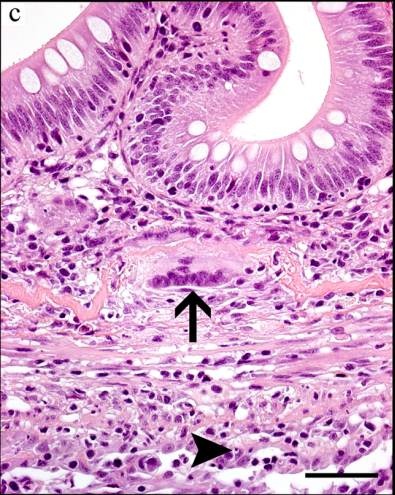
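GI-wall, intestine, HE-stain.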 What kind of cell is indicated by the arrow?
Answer: Multinucleated giant cell.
